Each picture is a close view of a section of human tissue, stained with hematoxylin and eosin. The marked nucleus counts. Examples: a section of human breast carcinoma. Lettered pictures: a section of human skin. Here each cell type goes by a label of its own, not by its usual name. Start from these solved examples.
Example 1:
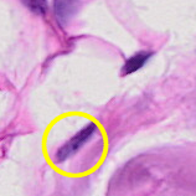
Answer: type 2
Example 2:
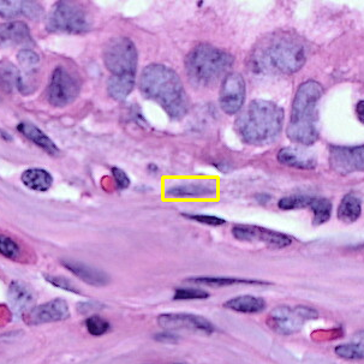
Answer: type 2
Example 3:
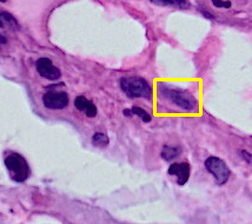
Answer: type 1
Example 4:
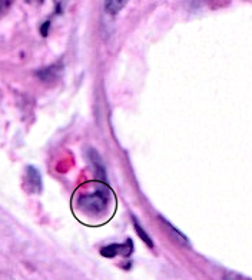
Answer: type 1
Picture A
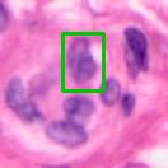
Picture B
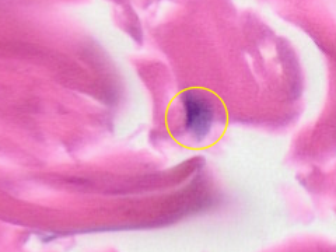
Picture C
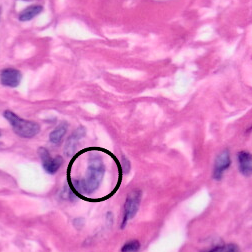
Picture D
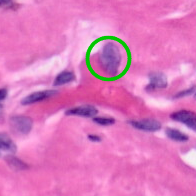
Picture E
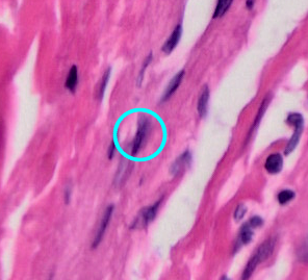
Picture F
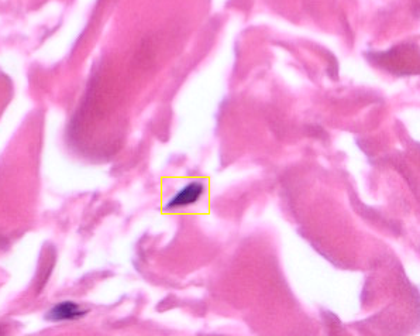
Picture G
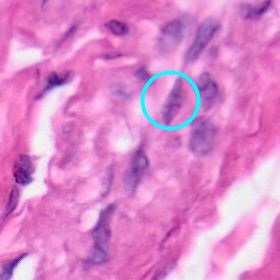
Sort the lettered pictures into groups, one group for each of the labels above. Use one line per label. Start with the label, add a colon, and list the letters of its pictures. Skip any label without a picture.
type 2: B, F
type 1: A, C, D, E, G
